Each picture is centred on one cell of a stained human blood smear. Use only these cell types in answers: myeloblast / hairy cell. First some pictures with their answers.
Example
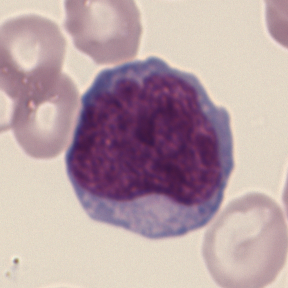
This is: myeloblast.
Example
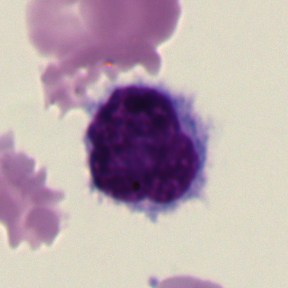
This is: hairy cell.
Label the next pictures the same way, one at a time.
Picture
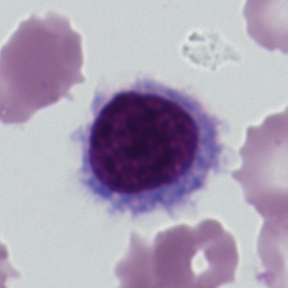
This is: hairy cell.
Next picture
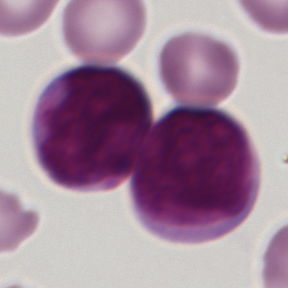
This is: myeloblast.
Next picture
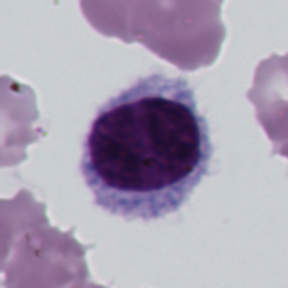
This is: hairy cell.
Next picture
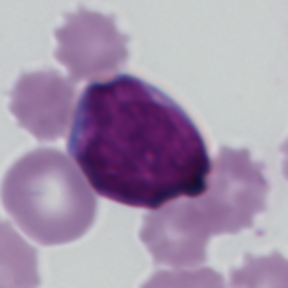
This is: myeloblast.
